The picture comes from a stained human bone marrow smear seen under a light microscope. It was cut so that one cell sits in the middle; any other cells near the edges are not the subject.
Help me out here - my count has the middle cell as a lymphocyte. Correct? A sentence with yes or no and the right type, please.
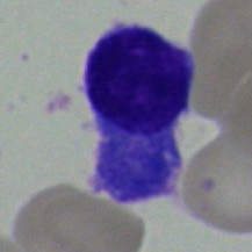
No, it is a plasma cell, not a lymphocyte, that lies at the centre of the crop.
